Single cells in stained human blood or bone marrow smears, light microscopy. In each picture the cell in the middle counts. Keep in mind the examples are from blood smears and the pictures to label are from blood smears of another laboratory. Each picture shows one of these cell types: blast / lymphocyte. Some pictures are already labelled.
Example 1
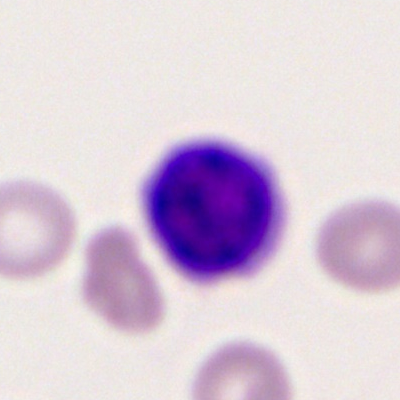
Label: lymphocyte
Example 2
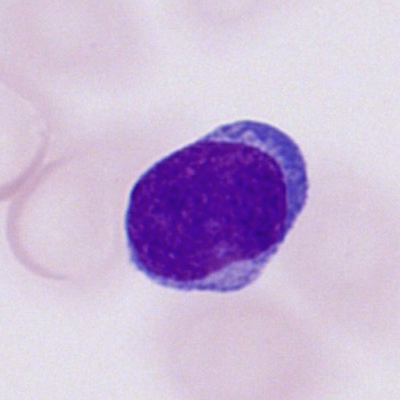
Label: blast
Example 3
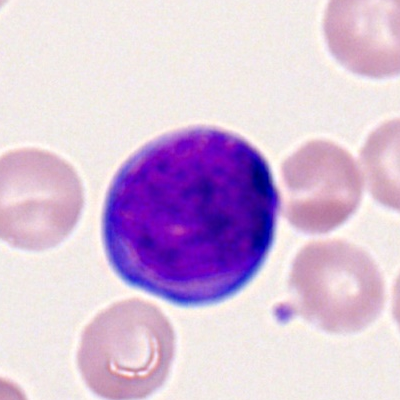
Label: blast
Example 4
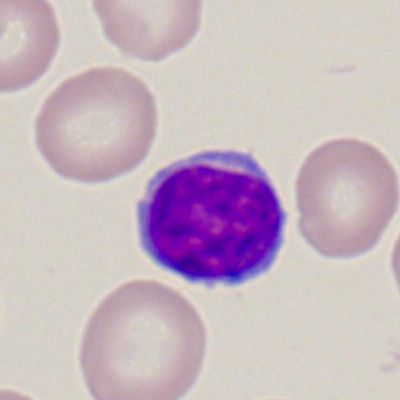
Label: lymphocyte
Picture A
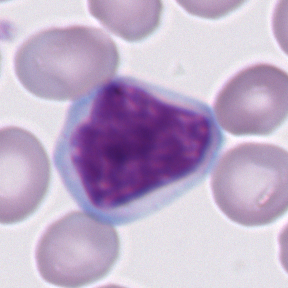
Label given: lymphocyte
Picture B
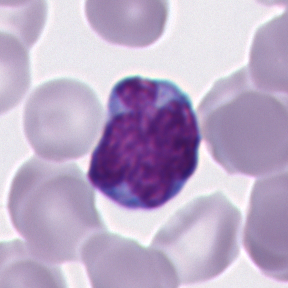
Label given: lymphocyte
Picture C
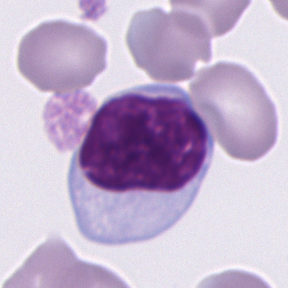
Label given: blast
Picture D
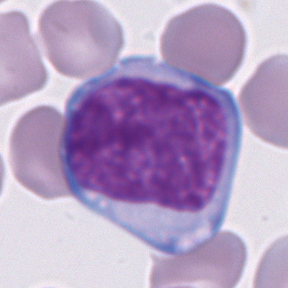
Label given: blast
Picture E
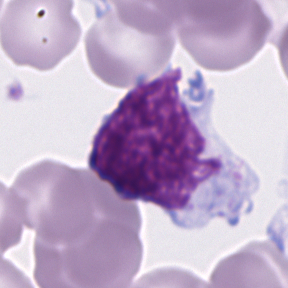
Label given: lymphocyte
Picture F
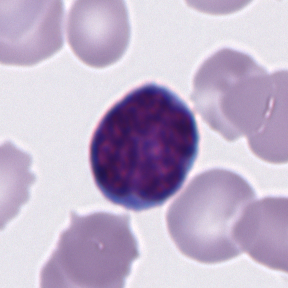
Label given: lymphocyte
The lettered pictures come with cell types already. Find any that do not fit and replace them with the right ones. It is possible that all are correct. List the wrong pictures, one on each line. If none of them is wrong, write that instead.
A: blast, not lymphocyte
C: lymphocyte, not blast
